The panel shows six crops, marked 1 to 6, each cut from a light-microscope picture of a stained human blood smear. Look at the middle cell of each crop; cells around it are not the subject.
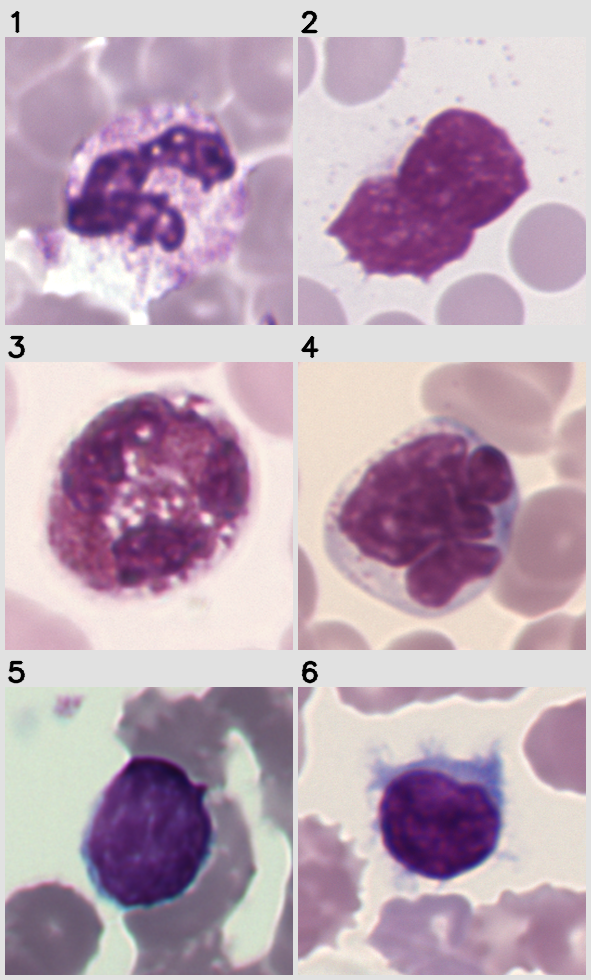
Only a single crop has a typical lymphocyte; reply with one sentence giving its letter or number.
In this set, crop 5 is the one showing a typical lymphocyte.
